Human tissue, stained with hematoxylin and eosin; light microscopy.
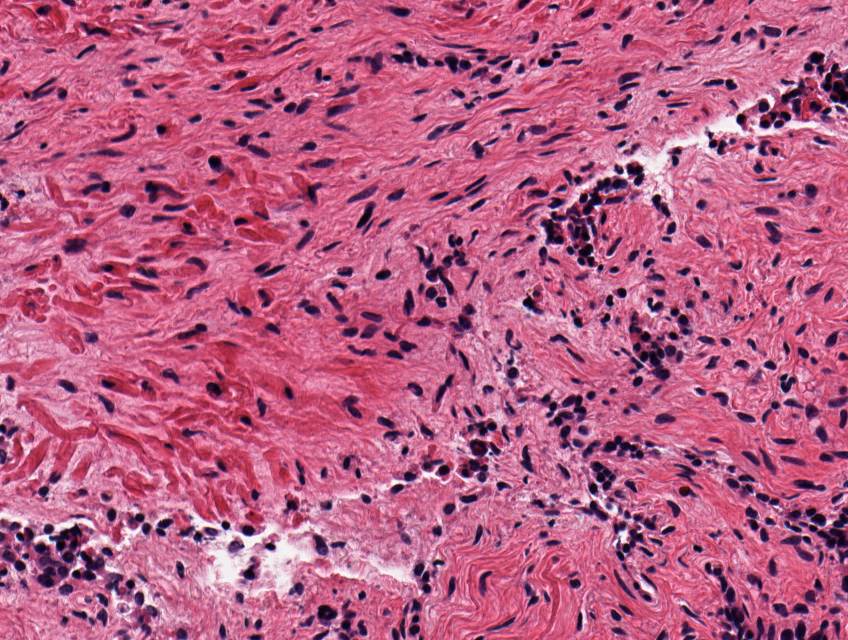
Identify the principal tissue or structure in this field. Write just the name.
fibromuscular stroma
